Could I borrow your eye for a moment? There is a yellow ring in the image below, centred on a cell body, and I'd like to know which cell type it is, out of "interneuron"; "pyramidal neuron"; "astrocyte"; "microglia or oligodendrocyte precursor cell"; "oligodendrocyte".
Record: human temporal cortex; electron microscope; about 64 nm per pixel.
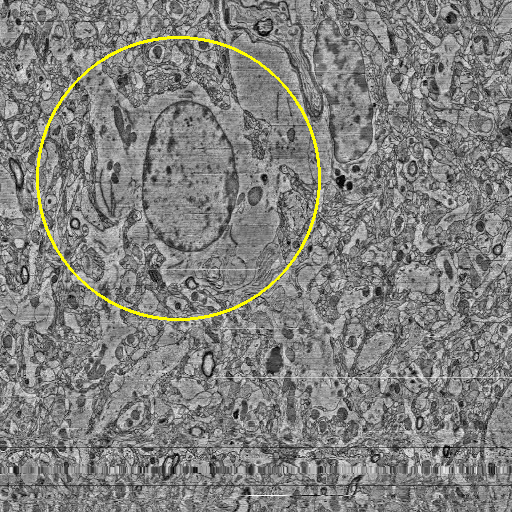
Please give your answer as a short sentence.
The cell body at the centre is that of an astrocyte.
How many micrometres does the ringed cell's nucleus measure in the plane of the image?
About 10 by 6 micrometres in this plane; clearly longer than it is wide.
